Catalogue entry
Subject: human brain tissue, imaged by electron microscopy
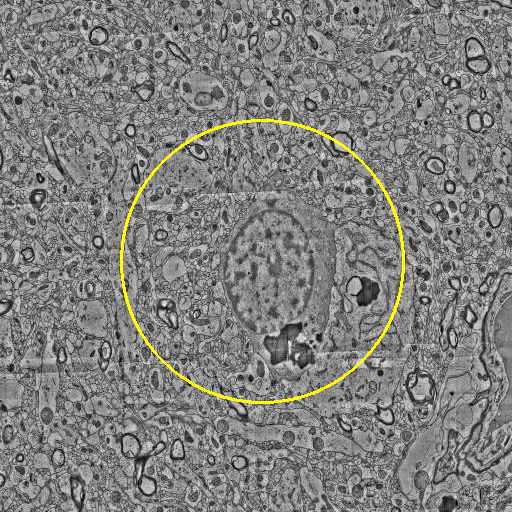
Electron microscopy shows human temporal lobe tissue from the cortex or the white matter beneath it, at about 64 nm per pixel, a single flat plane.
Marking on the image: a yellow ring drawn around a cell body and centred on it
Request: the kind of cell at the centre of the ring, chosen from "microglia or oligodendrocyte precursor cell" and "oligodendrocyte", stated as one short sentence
The ring has an oligodendrocyte at its centre.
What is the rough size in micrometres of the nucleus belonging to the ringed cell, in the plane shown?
The nucleus measures about 8 by 6 micrometres in this plane.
